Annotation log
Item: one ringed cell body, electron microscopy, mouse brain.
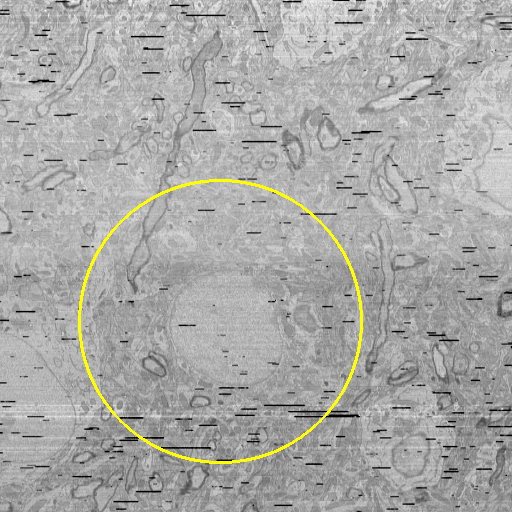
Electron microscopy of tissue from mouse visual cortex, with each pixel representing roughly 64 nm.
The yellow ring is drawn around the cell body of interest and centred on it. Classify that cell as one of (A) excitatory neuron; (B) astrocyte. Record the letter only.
B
